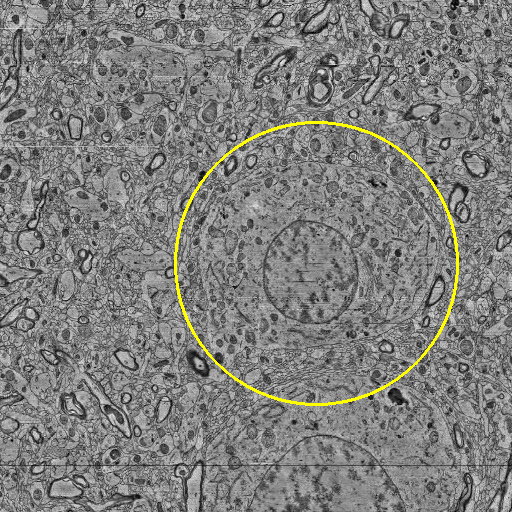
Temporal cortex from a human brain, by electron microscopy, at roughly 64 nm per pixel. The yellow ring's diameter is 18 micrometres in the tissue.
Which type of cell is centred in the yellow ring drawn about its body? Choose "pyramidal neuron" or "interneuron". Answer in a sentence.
The yellow ring surrounds the cell body of an interneuron.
